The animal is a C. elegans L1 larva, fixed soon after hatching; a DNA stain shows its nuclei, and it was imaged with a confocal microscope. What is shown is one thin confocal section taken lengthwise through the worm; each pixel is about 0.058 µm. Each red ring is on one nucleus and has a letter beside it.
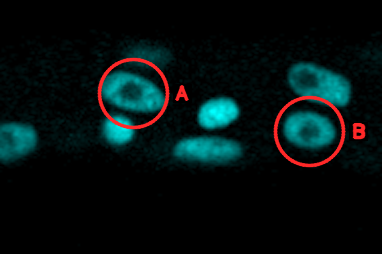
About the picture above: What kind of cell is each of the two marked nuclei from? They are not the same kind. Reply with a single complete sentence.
One is from a hypodermal cell (hyp), namely A, and the other, B, is from a seam cell.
